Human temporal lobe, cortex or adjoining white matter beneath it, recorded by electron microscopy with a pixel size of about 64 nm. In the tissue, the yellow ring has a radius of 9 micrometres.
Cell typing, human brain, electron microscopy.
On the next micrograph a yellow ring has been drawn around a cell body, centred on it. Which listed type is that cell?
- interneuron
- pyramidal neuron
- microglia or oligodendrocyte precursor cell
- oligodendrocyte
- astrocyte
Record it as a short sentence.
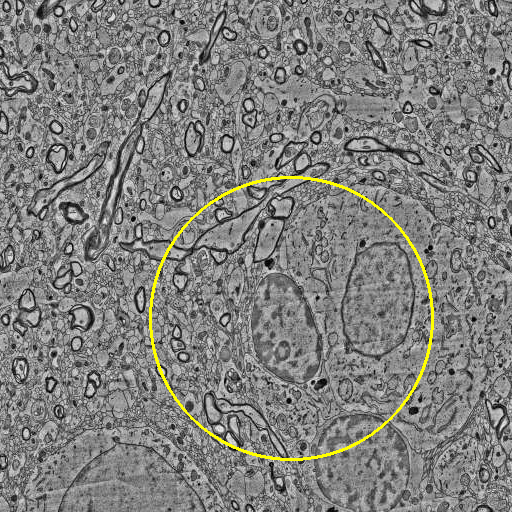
The cell body in the ring's centre belongs to a microglial cell or oligodendrocyte precursor cell.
